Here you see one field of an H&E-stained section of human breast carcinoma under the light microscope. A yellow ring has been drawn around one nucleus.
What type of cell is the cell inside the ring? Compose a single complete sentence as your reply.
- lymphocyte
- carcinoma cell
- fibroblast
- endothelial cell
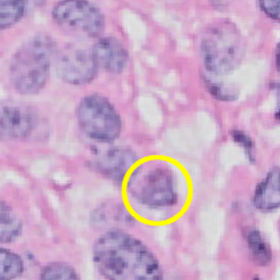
As for its identity, the cell inside the ring is a carcinoma cell.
